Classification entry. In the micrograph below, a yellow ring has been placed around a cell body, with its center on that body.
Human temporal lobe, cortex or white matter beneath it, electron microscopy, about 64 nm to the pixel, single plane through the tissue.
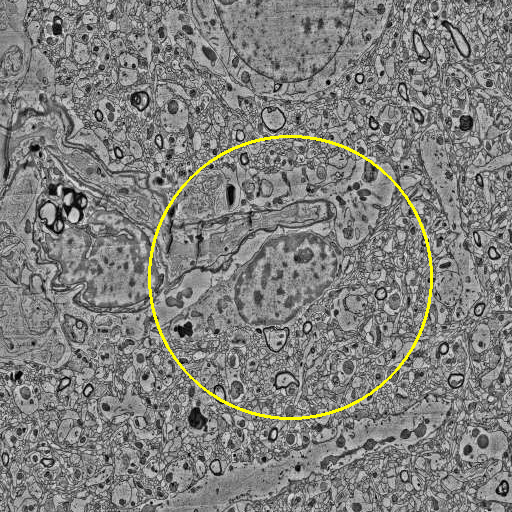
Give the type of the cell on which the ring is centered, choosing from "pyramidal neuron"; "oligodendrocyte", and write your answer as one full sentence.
The cell body at the center of the yellow ring belongs to an oligodendrocyte.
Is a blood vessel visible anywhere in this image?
Yes.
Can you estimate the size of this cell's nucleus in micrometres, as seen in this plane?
In this plane, about 7 micrometres in length and 5 in width.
